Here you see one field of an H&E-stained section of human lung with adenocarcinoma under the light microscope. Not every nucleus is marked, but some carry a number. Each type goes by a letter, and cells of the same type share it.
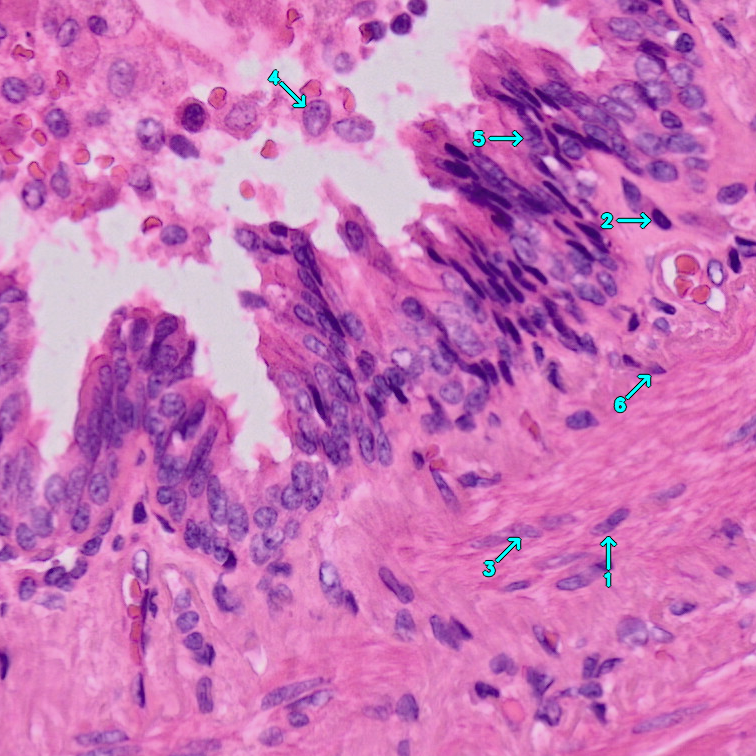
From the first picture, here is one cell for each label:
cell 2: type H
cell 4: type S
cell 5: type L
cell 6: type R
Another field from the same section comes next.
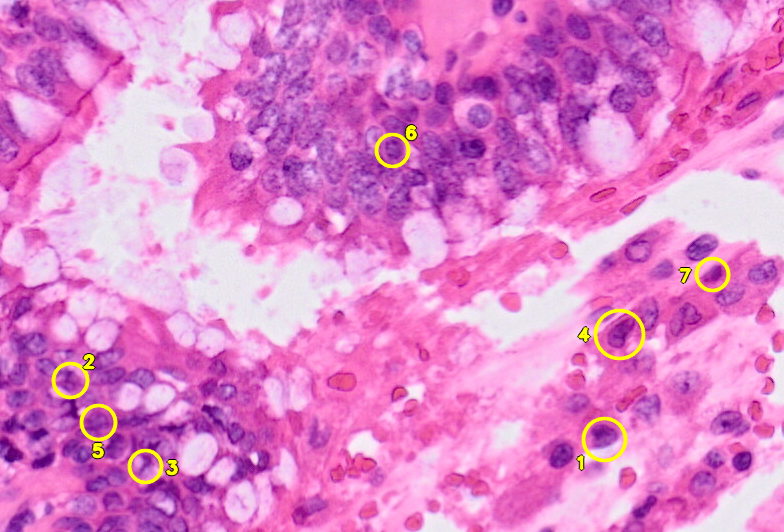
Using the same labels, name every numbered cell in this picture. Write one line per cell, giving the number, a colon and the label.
1: type S
2: type L
3: type L
4: type S
5: type L
6: type L
7: type S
